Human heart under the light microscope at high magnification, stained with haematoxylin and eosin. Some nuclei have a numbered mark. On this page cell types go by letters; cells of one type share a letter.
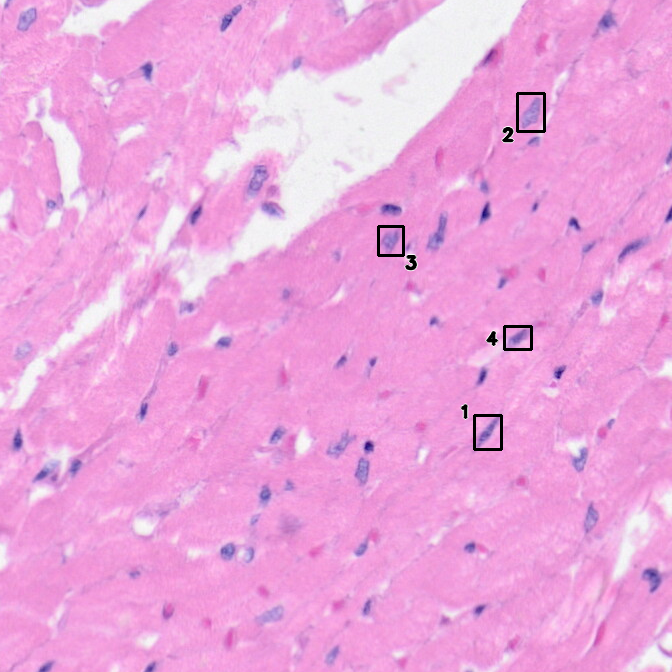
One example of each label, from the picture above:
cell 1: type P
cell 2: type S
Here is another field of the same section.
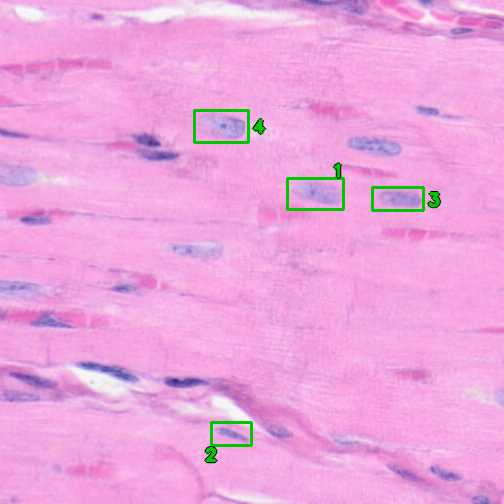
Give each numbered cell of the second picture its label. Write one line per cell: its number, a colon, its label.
1: type S
2: type P
3: type S
4: type S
